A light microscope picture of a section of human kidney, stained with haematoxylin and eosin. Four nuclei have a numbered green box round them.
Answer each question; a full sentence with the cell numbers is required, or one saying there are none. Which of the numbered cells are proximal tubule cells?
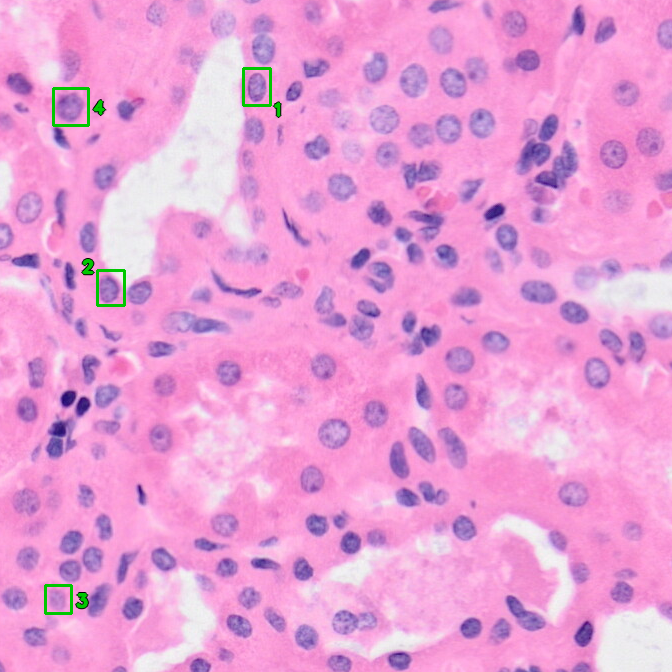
Of all the numbered cells, only cell 4 is a proximal tubule cell.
